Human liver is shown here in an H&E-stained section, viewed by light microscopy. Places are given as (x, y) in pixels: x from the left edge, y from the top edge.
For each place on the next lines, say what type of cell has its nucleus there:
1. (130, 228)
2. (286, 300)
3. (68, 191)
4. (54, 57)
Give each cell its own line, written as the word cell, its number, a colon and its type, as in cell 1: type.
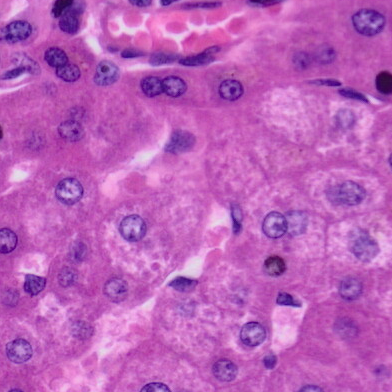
cell 1: hepatocyte
cell 2: endothelial cell
cell 3: hepatocyte
cell 4: cholangiocyte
